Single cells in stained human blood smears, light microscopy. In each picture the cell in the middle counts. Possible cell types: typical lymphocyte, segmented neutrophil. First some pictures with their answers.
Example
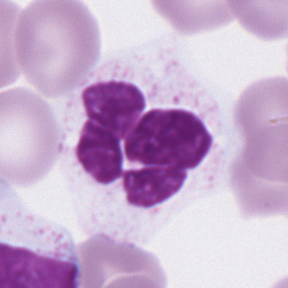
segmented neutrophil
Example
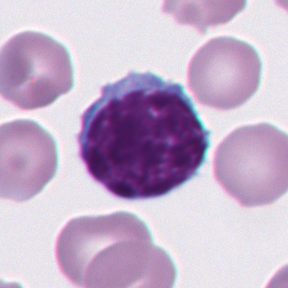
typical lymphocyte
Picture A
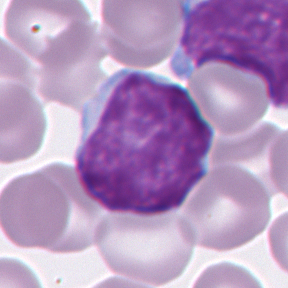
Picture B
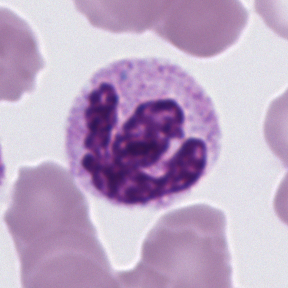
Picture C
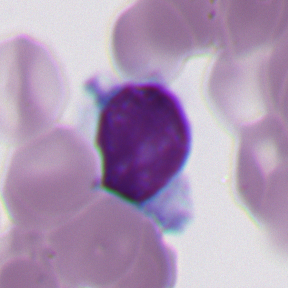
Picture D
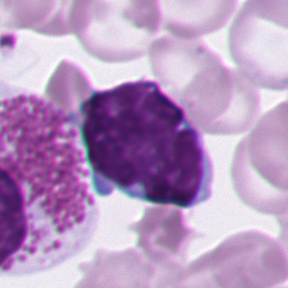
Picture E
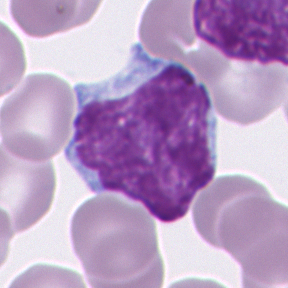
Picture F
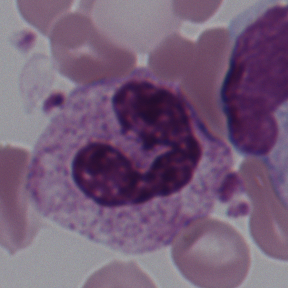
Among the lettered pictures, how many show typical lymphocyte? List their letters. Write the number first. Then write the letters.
Count: 4 (A, C, D, E)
